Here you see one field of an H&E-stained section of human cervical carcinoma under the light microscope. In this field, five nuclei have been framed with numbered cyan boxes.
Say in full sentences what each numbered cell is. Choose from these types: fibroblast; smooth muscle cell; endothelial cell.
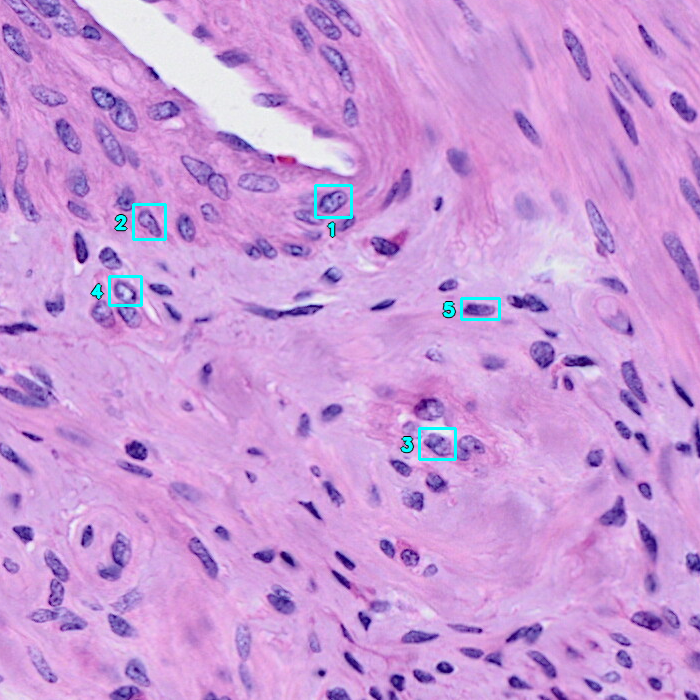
Cells 1 and 2 are smooth muscle cells. Cells 3 and 4 are endothelial cells. Cell 5 is a fibroblast.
